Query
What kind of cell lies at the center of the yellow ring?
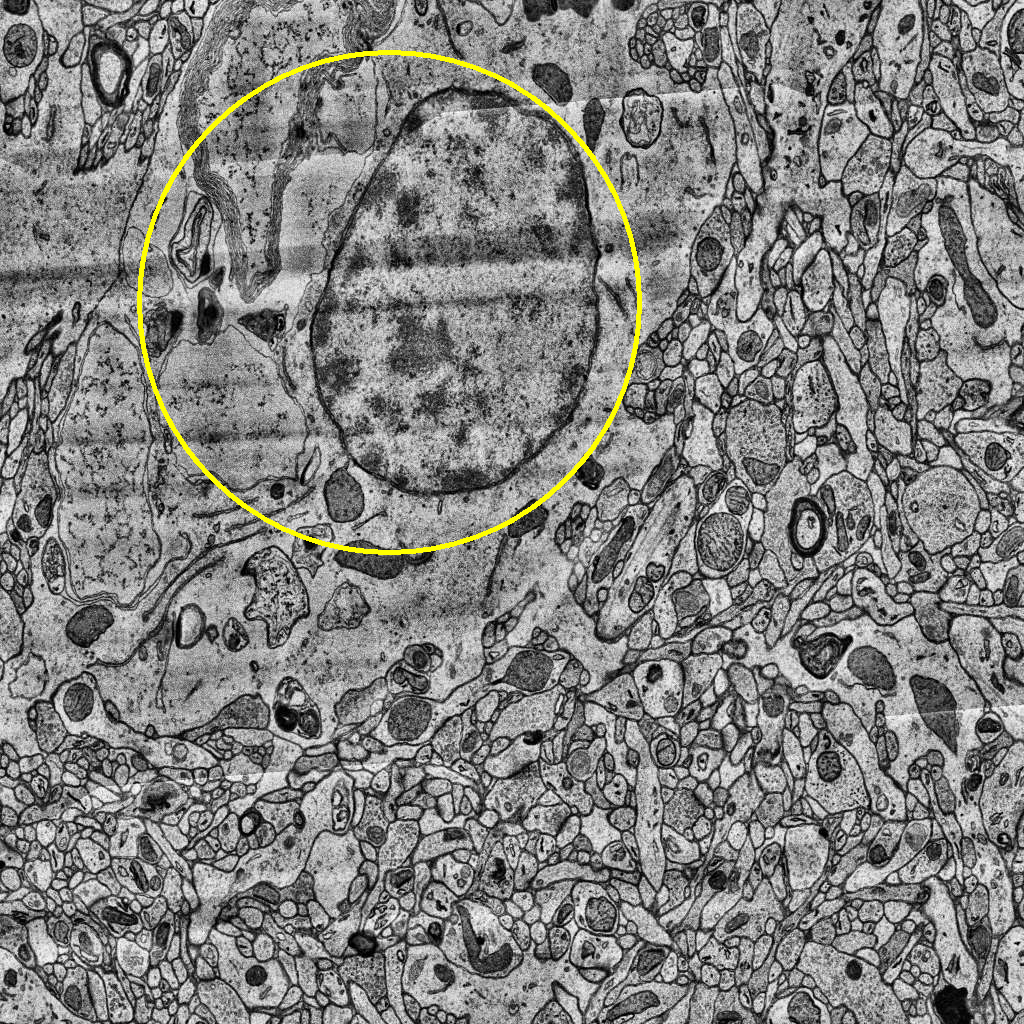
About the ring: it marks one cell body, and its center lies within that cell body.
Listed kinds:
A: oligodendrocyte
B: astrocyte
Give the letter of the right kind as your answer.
B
